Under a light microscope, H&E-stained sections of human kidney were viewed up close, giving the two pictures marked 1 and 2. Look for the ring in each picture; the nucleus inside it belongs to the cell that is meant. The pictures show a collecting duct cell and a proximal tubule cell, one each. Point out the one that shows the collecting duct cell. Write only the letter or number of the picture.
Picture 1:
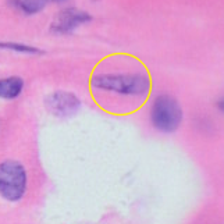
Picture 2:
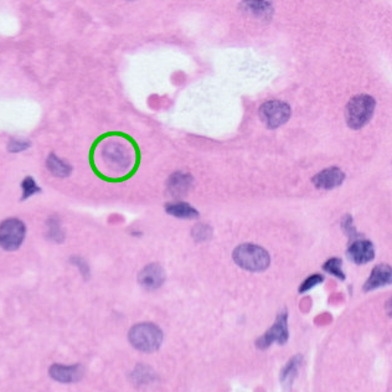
1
